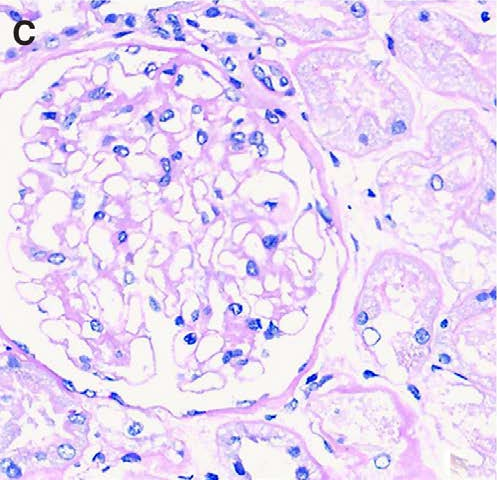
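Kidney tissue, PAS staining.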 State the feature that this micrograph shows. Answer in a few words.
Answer: glomeruli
